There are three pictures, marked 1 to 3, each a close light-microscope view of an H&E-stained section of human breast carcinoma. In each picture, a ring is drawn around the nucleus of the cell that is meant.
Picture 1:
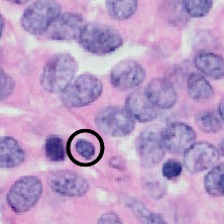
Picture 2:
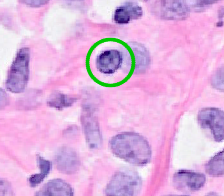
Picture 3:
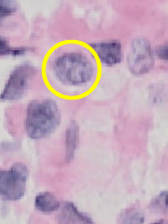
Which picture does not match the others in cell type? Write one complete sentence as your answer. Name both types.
Unlike the rest, which show lymphocytes, picture 3 shows a carcinoma cell.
